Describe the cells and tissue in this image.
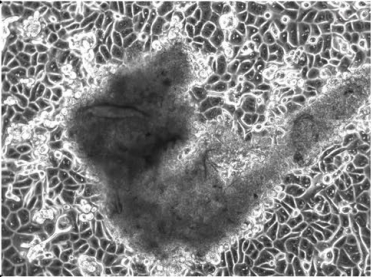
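The fragment is a dark grey, irregular mass stretching in an elongated band across the centre of the field. Small, tightly packed polygonal cells with bright borders fill the area around it in a cobblestone arrangement. Close to the edge of the mass, the cells look rounder and more crowded. The monolayer reaches right up to the fragment.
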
